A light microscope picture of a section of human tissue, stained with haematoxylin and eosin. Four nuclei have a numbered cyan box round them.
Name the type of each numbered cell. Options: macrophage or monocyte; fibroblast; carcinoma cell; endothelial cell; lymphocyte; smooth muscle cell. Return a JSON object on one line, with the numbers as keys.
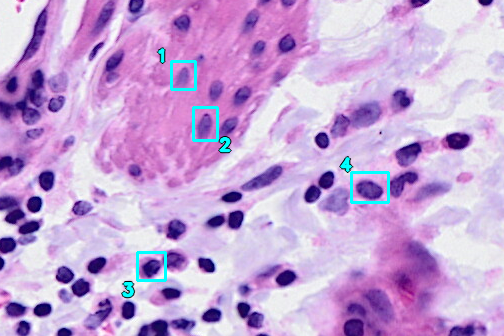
{"1": "smooth muscle cell", "2": "smooth muscle cell", "3": "lymphocyte", "4": "lymphocyte"}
